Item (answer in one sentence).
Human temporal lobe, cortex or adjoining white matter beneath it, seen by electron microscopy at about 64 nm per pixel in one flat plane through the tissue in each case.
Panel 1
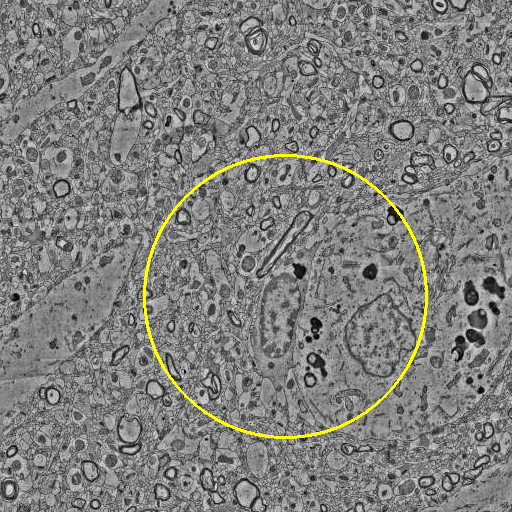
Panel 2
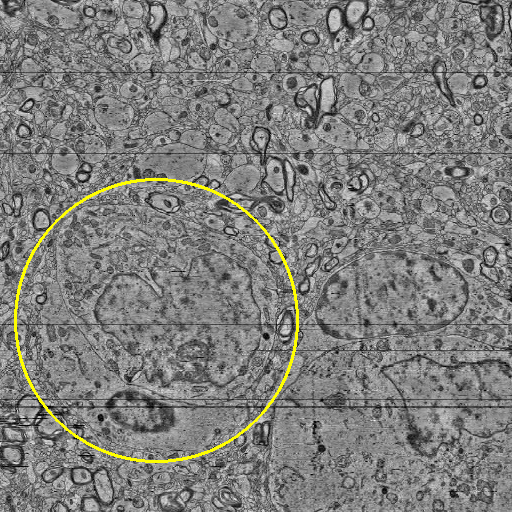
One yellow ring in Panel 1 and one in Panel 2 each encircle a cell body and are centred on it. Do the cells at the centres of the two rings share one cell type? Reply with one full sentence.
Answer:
No, Panel 1 and Panel 2 show cells of two types at the centres of their rings.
